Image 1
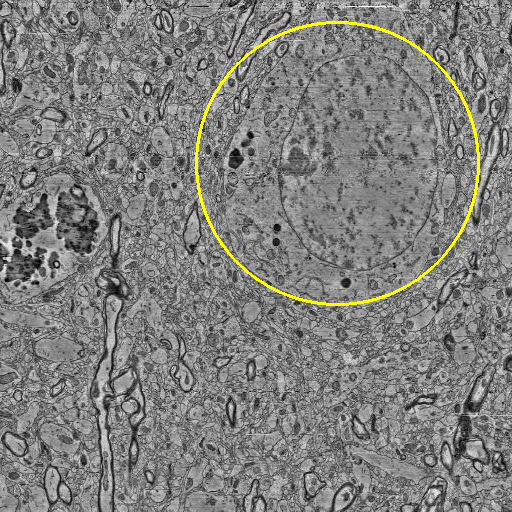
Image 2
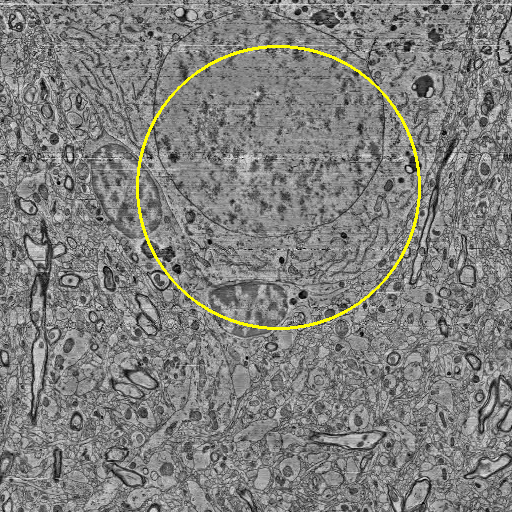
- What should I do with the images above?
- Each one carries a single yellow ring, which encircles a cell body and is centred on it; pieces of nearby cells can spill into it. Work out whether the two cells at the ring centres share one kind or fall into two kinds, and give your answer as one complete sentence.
The ring-centre cells of Image 1 and Image 2 share one kind.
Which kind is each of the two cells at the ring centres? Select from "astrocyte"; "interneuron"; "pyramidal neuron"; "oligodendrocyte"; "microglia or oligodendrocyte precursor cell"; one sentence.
Each cell, in the first picture and the second, is a pyramidal neuron.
